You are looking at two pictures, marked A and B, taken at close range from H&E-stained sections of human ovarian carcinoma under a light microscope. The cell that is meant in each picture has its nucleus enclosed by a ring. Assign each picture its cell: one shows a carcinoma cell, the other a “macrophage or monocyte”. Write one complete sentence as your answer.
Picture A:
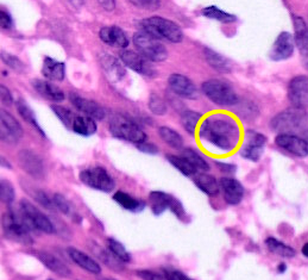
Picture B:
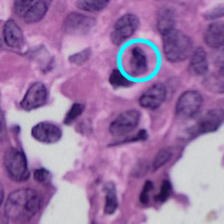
It is picture A that shows a carcinoma cell, and picture B that shows a “macrophage or monocyte”.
